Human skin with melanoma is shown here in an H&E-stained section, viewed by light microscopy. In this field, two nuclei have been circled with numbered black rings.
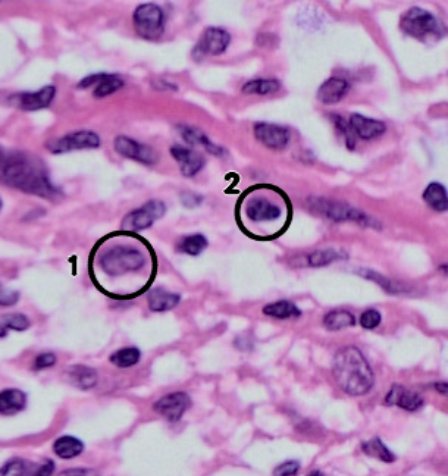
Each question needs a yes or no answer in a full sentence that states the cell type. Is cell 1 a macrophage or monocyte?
Yes, the cell labelled with number 1 is a macrophage or monocyte.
